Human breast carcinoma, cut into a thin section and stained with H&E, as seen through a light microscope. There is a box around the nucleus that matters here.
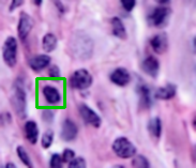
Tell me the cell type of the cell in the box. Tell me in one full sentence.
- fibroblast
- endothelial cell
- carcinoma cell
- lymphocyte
Just put down that the cell in the box is a lymphocyte.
